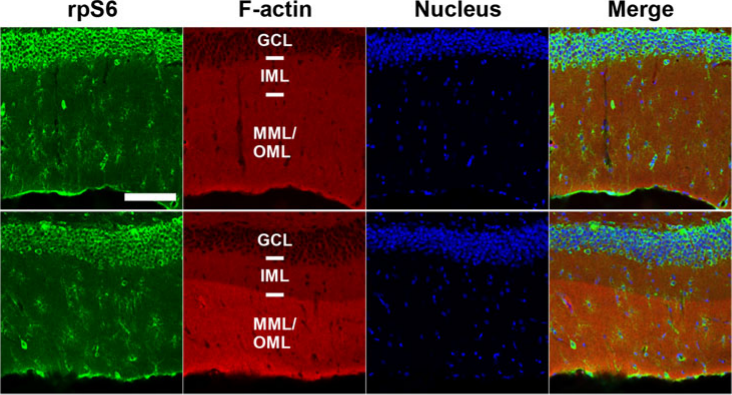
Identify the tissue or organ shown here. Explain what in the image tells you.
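A dense band of tightly packed small round nuclei runs along the top edge. A broad layer with only scattered nuclei lies beneath the dense band. The broad layer is subdivided into an inner and an outer zone.
Answer: dentate gyrus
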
